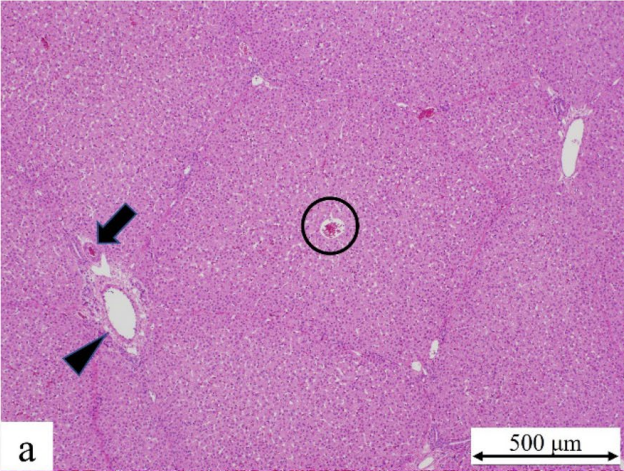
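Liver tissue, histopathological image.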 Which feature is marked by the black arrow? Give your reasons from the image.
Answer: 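The arrow points to a small round vessel with a thick pink wall and narrow lumen. On this evidence: hepatic artery.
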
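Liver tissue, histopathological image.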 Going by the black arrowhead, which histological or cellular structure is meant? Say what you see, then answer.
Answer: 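Portal vein. The arrowhead points to a large oval vessel with a wide empty lumen and thin wall. It sits in a connective tissue tract together with a smaller thick-walled vessel.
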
